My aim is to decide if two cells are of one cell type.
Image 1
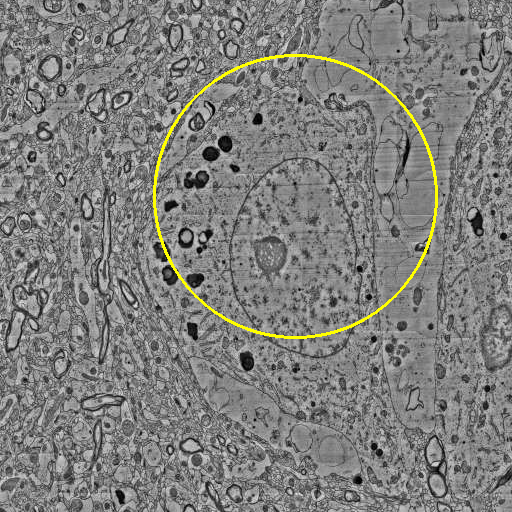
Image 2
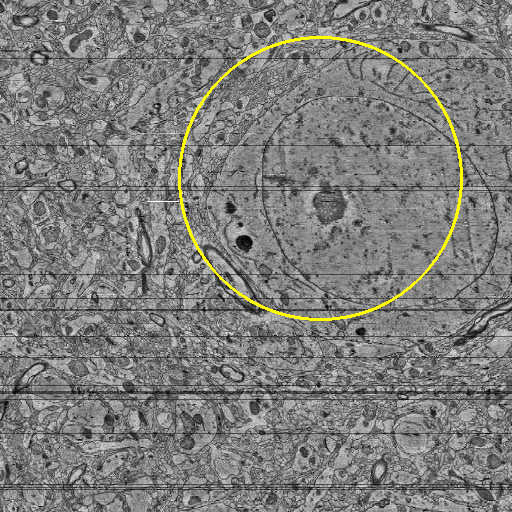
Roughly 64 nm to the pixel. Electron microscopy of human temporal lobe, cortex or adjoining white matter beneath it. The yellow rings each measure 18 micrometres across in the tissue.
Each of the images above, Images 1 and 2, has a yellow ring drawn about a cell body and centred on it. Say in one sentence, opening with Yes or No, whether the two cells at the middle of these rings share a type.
Yes, in Images 1 and 2 the cells at the middle of the rings share one type.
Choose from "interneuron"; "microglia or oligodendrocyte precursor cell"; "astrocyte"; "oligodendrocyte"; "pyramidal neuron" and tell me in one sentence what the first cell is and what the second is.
In the first picture and in the second, the ring is centred on a pyramidal neuron.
